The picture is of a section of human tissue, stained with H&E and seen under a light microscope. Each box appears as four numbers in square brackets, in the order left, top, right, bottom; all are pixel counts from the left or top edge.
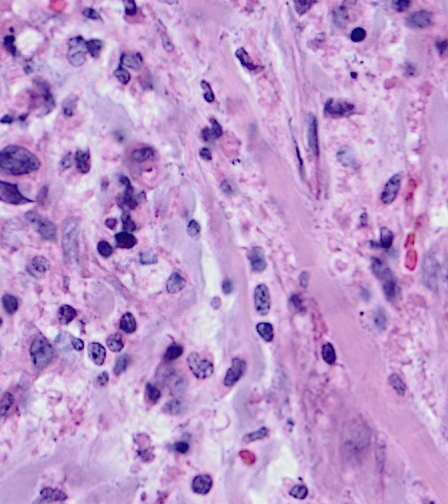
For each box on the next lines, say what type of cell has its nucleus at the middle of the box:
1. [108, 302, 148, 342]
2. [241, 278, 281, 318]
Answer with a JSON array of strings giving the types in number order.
["lymphocyte", "mast cell"]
